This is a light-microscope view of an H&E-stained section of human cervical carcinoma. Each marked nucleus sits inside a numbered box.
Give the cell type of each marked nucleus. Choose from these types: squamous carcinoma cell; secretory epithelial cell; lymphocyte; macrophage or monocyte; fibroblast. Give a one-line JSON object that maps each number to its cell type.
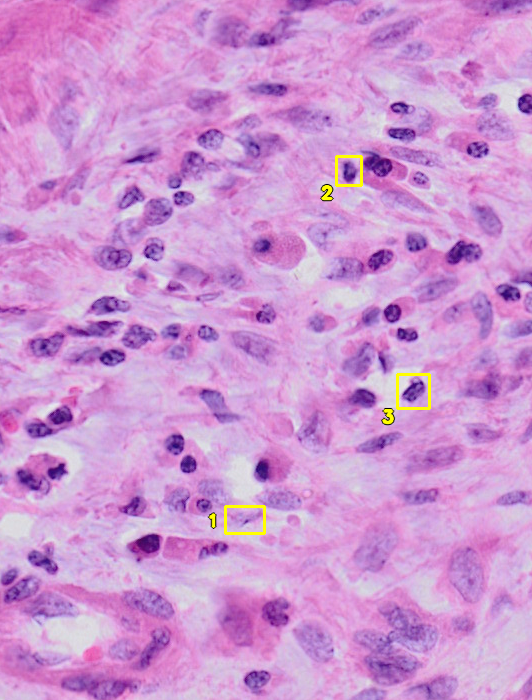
{"1": "fibroblast", "2": "lymphocyte", "3": "lymphocyte"}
